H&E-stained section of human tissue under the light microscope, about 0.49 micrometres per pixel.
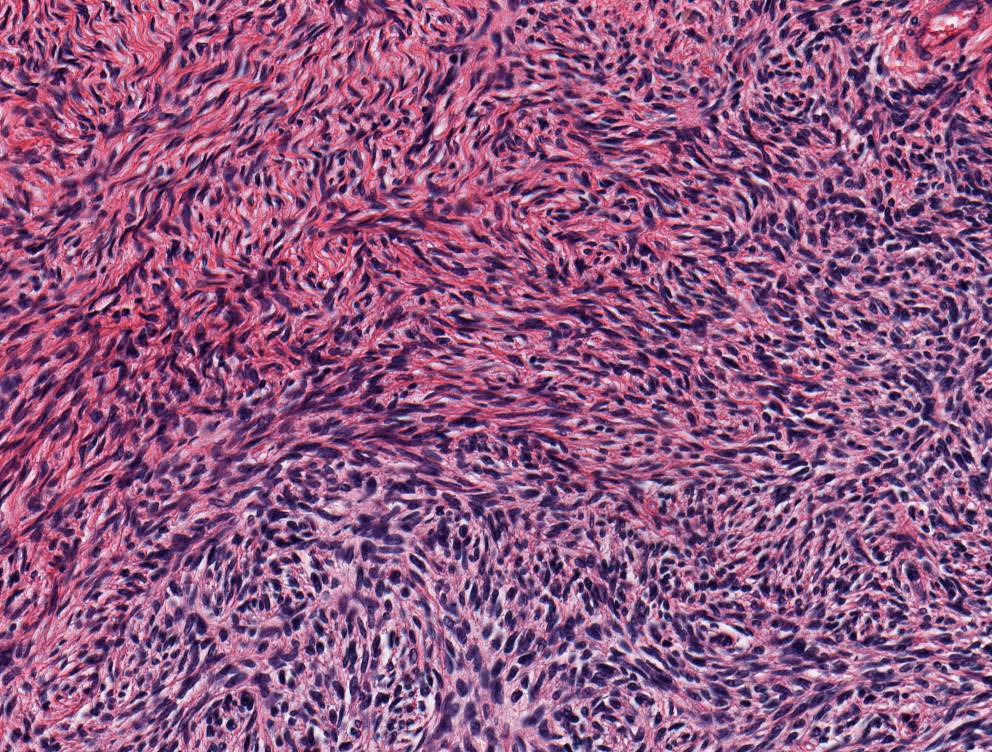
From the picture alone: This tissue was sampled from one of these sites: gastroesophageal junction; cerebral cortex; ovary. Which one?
ovary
